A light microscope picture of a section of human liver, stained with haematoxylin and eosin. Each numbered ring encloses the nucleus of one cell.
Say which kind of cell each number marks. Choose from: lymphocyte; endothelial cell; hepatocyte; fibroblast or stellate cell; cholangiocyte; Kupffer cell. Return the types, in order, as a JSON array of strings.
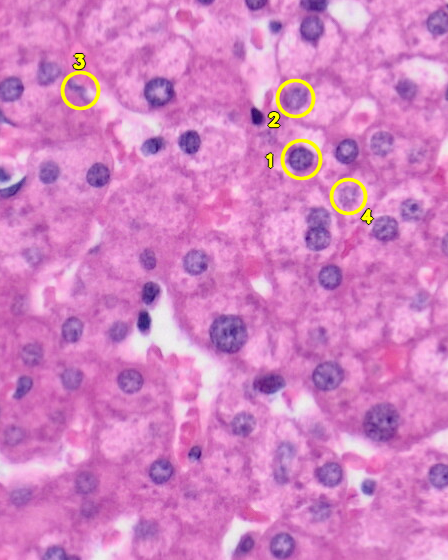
["hepatocyte", "hepatocyte", "endothelial cell", "hepatocyte"]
